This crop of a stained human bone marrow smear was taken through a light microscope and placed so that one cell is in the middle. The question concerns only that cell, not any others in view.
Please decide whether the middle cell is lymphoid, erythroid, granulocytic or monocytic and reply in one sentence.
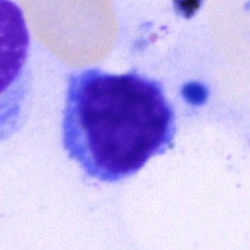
The central cell originates in the lymphoid lineage.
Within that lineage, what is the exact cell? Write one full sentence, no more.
Located at the centre of the crop is a lymphocyte.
